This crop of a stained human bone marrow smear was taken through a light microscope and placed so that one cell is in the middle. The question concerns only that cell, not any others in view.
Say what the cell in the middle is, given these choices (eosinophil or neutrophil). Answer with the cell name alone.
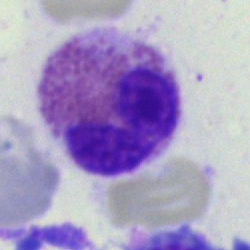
eosinophil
